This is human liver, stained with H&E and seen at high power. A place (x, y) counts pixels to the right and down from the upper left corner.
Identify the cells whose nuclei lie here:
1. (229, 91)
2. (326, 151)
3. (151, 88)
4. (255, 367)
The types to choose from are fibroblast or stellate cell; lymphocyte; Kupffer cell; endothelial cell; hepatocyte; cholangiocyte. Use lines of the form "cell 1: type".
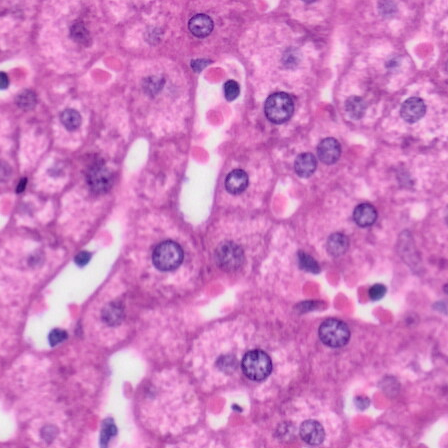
cell 1: lymphocyte
cell 2: hepatocyte
cell 3: hepatocyte
cell 4: hepatocyte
